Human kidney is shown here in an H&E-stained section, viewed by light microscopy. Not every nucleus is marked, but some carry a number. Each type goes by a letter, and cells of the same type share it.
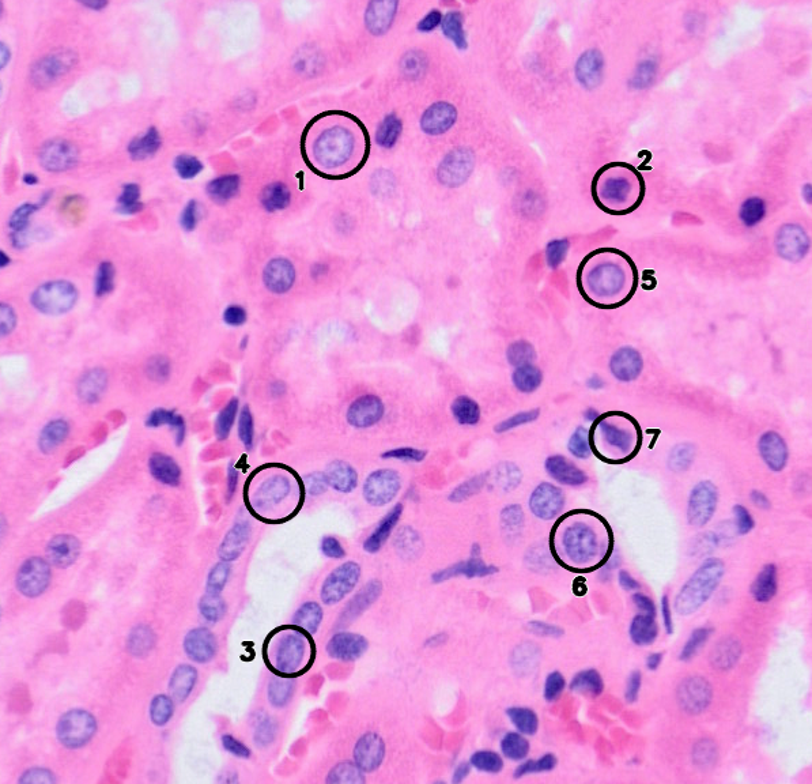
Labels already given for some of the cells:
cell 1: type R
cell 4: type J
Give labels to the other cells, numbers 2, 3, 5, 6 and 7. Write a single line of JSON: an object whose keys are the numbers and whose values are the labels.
{"2": "type R", "3": "type J", "5": "type R", "6": "type J", "7": "type J"}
